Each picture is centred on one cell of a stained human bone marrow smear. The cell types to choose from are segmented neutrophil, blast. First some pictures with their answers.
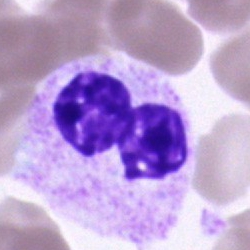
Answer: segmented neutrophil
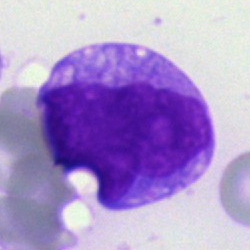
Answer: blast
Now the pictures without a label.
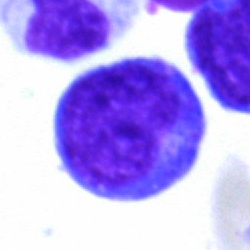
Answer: blast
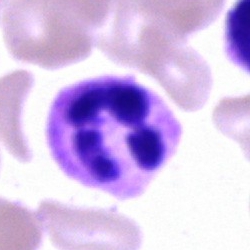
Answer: segmented neutrophil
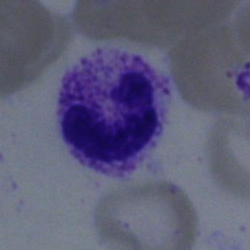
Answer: segmented neutrophil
